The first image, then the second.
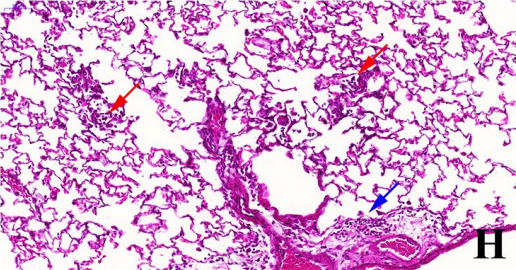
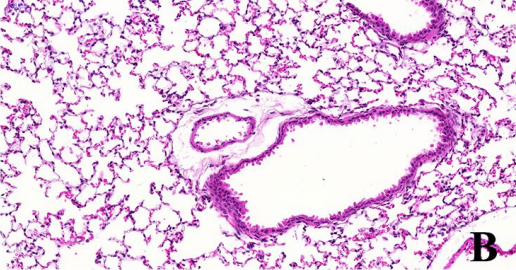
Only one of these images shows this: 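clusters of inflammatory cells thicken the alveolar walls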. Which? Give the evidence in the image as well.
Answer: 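First image: several dense clusters of dark nuclei crowd the alveolar walls. Second image: alveolar walls are thin with scattered nuclei and no clusters.
Answer: the first image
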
